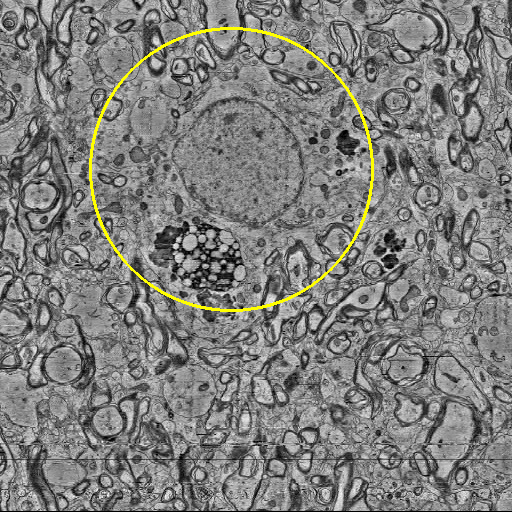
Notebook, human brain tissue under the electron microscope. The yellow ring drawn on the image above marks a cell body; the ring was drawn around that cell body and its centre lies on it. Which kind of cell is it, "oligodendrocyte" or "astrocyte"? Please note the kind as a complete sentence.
The marked cell body is that of an astrocyte.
